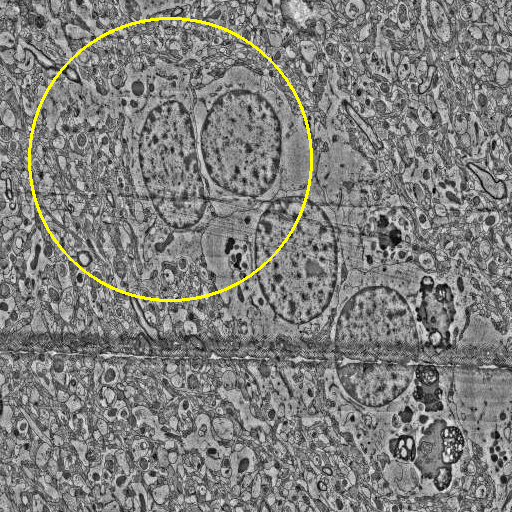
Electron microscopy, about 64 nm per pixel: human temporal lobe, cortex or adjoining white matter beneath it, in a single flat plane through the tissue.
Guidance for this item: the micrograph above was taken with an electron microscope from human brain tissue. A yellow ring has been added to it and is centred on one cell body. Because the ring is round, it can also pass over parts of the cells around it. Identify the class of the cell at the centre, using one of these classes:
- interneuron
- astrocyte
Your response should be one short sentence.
The ring surrounds the body of an astrocyte.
